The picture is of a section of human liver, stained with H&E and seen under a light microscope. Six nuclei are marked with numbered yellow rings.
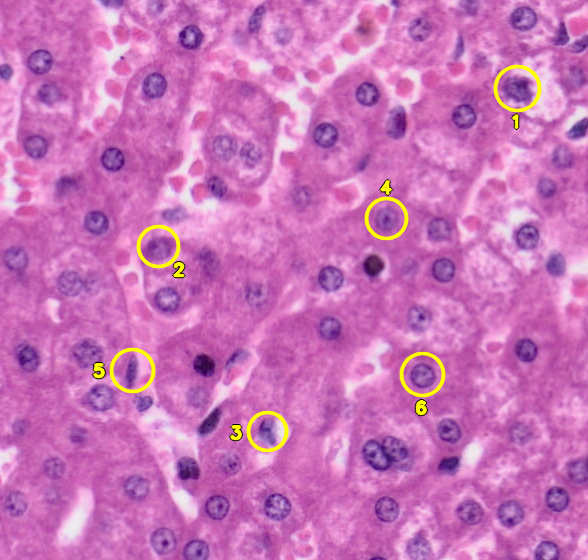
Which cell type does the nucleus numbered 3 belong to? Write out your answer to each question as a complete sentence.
As for number 3, that cell is an endothelial cell.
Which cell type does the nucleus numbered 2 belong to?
The cell pointed out as number 2 is a hepatocyte.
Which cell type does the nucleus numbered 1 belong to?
Looking at the numbered marks, cell 1 is a hepatocyte.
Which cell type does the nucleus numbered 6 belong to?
Identified as a hepatocyte is the cell bearing the number 6.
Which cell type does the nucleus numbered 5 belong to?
Nucleus 5 in this section belongs to an endothelial cell.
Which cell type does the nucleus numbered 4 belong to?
The one numbered 4 among the marked cells is a hepatocyte.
